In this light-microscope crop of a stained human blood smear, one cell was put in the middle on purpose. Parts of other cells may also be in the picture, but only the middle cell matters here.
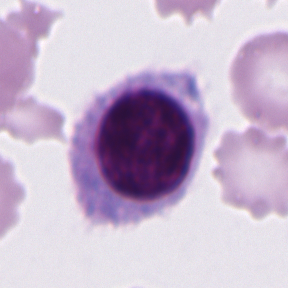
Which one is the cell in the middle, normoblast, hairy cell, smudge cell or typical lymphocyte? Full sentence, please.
This crop has a hairy cell at its centre.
